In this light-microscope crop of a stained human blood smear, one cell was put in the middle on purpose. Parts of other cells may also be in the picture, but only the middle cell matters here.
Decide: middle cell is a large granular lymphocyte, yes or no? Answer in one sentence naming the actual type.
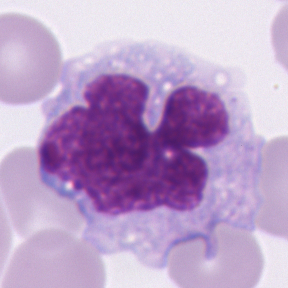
No, the cell at the centre is identified as a monocyte, not as a large granular lymphocyte.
